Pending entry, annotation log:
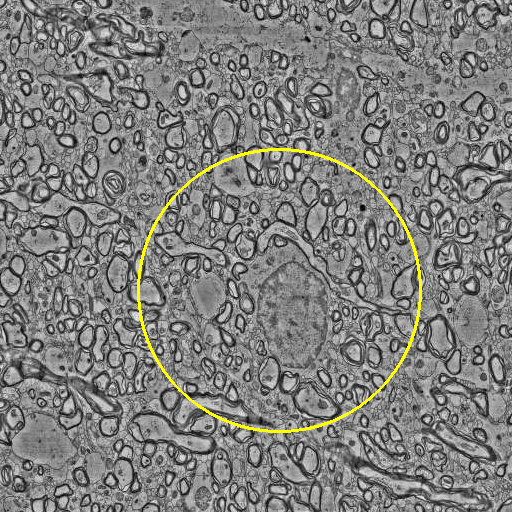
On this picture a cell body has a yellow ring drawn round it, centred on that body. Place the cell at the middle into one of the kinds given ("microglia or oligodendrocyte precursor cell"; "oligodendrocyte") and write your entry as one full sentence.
The cell body at the middle of the yellow ring belongs to an oligodendrocyte.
